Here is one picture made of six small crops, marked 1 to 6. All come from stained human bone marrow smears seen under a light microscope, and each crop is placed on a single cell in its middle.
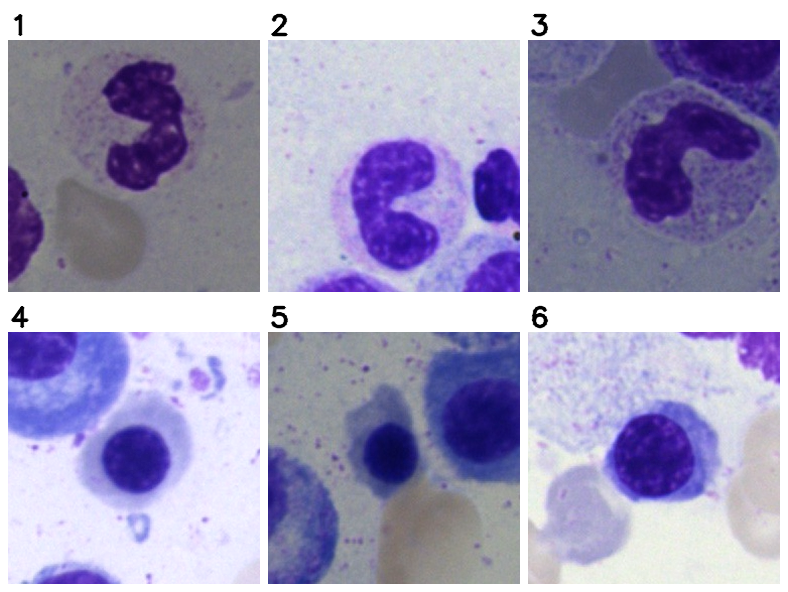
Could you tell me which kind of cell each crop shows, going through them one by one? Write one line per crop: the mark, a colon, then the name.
1: segmented neutrophil
2: band neutrophil
3: band neutrophil
4: erythroblast
5: erythroblast
6: erythroblast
